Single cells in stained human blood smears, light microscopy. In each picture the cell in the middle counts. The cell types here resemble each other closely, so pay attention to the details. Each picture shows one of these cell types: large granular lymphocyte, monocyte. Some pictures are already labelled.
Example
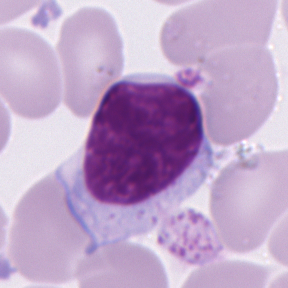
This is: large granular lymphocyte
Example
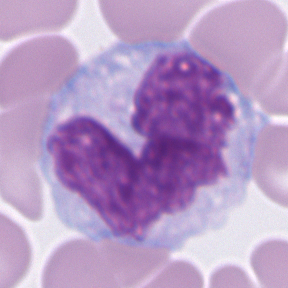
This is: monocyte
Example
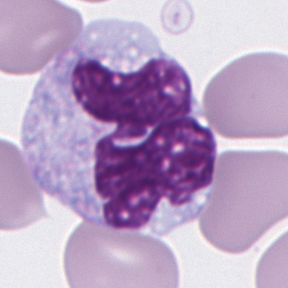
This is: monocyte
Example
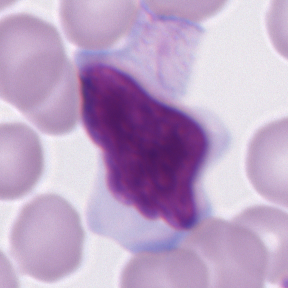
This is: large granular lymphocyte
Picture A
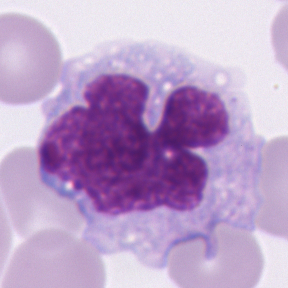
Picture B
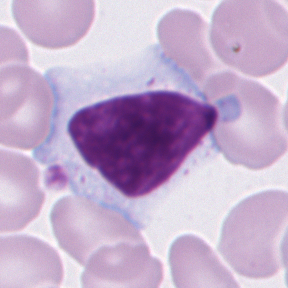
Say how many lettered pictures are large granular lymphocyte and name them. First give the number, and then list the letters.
Count: 1 (B)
